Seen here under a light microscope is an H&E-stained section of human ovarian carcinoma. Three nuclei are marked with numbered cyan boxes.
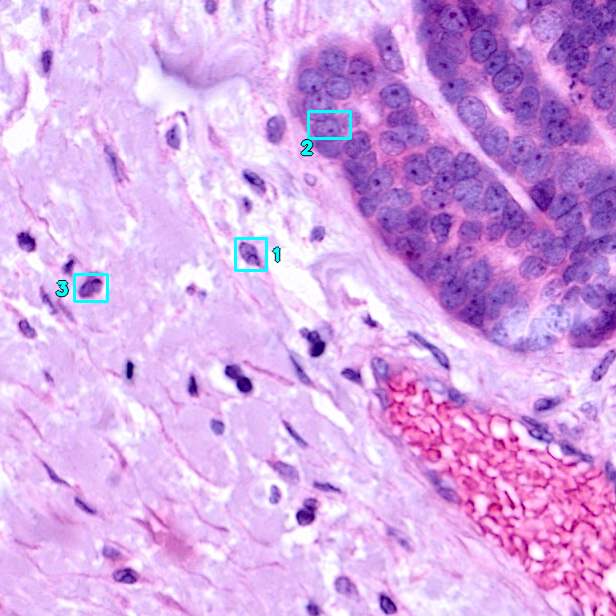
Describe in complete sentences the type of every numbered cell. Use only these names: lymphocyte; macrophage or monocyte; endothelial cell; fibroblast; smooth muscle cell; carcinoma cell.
Cells 1 and 3 are macrophages or monocytes. Cell 2 is a carcinoma cell.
